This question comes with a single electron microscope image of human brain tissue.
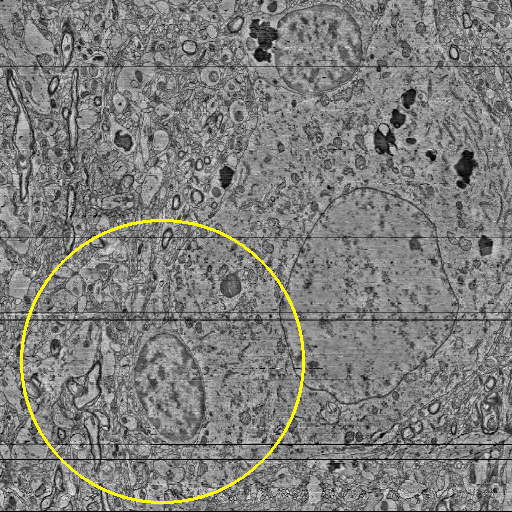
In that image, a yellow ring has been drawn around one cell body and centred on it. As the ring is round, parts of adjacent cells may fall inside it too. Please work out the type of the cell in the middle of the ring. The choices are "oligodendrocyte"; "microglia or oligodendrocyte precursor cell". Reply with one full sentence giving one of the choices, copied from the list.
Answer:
Of the choices, an oligodendrocyte is the cell sitting in the middle of the ring.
